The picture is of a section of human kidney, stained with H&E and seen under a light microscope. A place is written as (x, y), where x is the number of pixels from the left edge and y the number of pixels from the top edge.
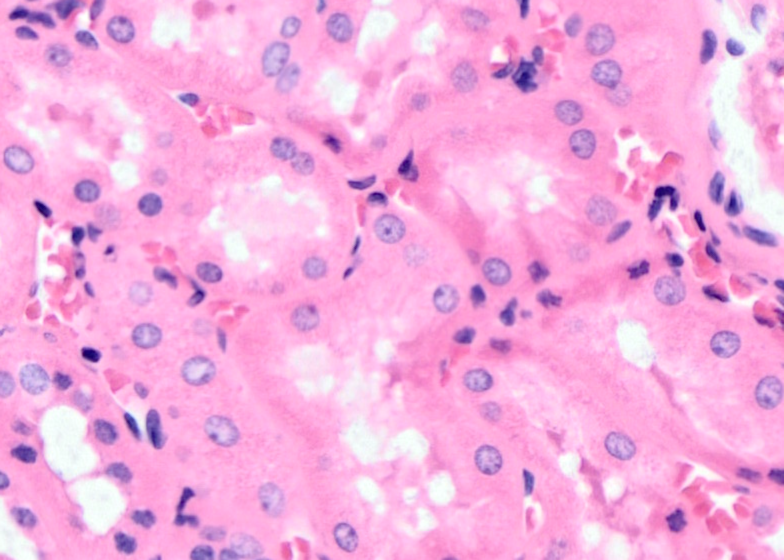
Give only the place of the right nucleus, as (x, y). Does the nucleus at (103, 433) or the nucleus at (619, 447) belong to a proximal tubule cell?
(619, 447)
